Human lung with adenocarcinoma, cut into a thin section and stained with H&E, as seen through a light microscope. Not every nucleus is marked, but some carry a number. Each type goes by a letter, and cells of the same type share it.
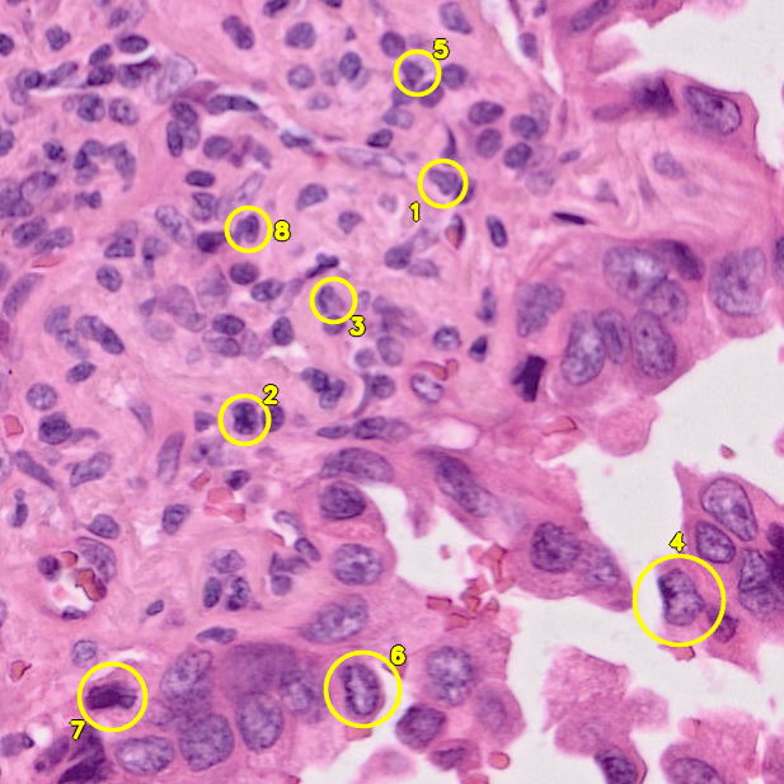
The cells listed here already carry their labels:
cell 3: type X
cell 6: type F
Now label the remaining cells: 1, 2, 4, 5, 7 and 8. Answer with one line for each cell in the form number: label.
1: type X
2: type X
4: type F
5: type X
7: type F
8: type X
